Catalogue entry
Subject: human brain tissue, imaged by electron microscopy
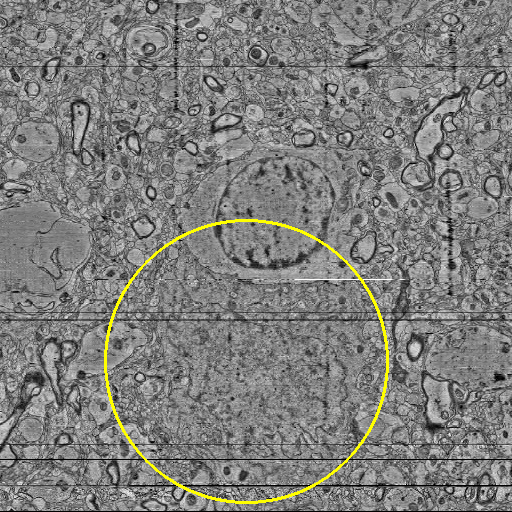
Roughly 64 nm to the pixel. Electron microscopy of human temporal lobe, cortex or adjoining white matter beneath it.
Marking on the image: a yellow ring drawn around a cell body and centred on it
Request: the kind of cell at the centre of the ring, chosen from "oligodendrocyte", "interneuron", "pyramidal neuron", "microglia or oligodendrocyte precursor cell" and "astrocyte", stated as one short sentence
The ring has a pyramidal neuron at its centre.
